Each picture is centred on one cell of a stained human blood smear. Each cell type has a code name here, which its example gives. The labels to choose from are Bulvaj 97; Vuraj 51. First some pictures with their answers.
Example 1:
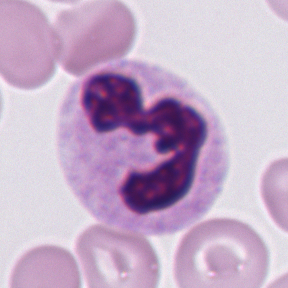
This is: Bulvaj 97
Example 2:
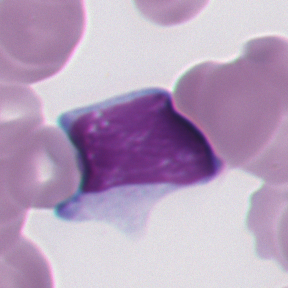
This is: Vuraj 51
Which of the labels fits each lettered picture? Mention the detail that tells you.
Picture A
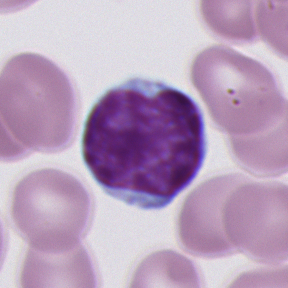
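Vuraj 51. The cytoplasm is a thin rim seen mainly above and below the nucleus.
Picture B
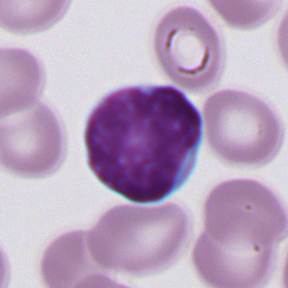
Vuraj 51. The cytoplasm is only a thin rim that is widest at the lower right.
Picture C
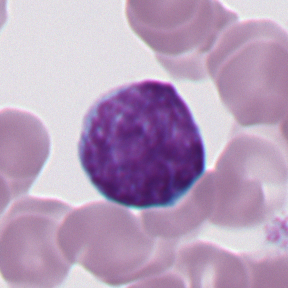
Vuraj 51. Cytoplasm shows only as a very thin rim at the cell's edge.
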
